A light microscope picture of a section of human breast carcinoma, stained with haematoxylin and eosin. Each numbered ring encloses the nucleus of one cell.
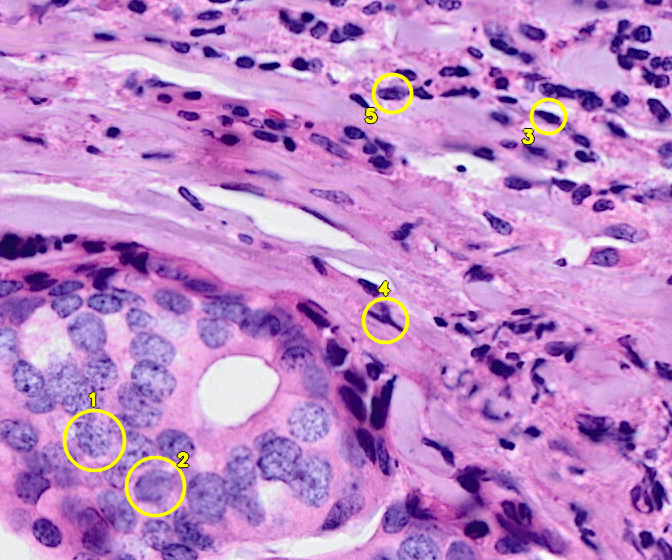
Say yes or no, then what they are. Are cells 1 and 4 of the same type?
No, unlike cell 4, which is a fibroblast, cell 1 is a carcinoma cell.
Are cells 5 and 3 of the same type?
Yes, both of the cells numbered 5 and 3 are lymphocytes.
